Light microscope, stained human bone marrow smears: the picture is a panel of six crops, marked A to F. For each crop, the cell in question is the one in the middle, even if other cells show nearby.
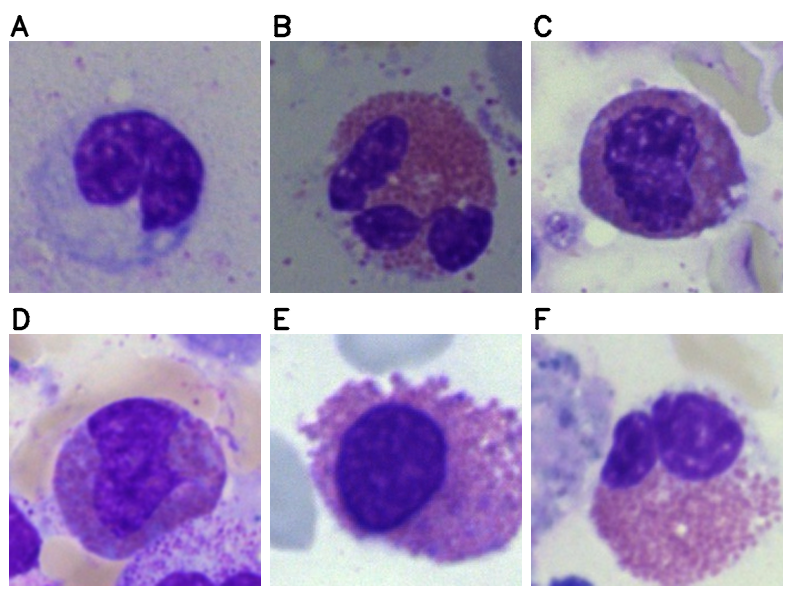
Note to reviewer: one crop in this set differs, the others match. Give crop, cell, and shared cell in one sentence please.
In every crop except crop A, which shows a band neutrophil, eosinophils are shown.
